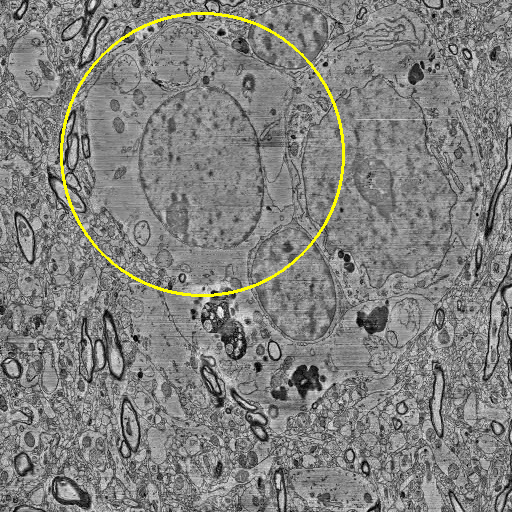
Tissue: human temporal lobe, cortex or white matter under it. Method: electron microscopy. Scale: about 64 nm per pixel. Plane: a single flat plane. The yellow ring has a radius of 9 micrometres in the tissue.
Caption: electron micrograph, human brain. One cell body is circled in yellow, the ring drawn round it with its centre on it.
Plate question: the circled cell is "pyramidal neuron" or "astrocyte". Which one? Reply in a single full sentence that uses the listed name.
The yellow ring on the plate is centred on an astrocyte, going by the listed names.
